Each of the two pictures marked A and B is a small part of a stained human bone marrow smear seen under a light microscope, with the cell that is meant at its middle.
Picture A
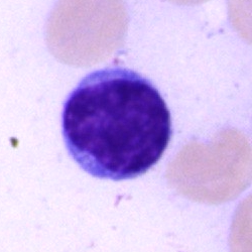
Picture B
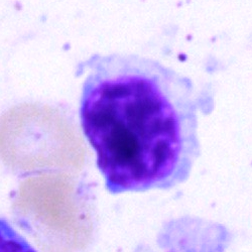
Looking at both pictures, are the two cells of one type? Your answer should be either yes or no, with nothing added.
yes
